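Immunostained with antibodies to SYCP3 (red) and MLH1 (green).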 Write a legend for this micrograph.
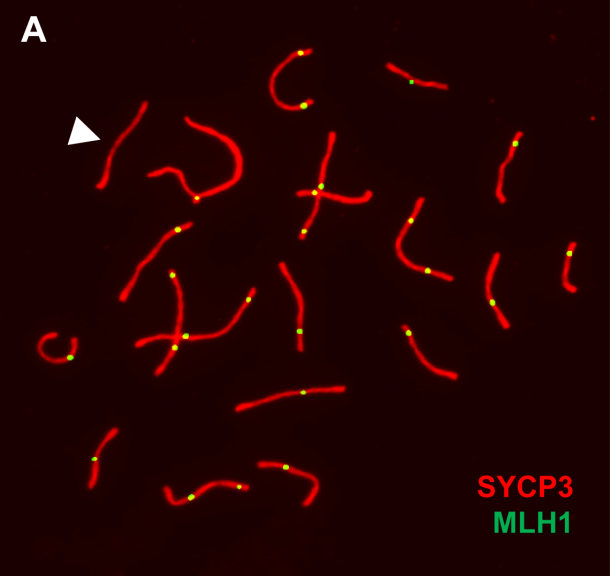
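This is a spread nucleus of a pachytene spermatocyte, in which the chromosomes appear as some twenty separate red thread-like axes on a dark background. The threads vary in length; some are straight, others curved or bent, and a few lie across one another. Most threads bear one, sometimes two, small bright green dots placed along their length. One long thread, marked by a white arrowhead at the upper left, carries no green dot at all. No nuclear outline or cytoplasm is visible.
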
